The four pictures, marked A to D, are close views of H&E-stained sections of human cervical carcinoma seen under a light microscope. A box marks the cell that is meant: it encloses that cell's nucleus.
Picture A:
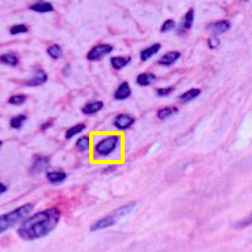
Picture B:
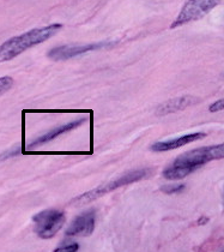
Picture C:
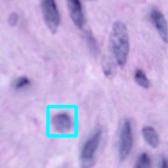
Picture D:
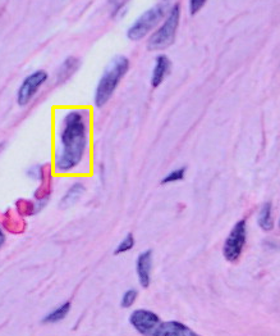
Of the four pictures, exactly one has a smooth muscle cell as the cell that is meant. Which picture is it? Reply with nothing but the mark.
A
